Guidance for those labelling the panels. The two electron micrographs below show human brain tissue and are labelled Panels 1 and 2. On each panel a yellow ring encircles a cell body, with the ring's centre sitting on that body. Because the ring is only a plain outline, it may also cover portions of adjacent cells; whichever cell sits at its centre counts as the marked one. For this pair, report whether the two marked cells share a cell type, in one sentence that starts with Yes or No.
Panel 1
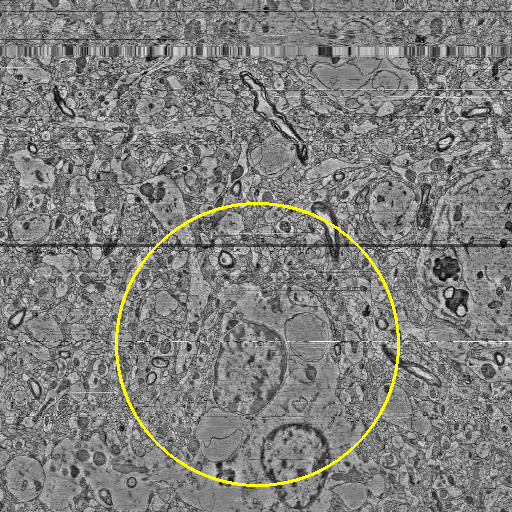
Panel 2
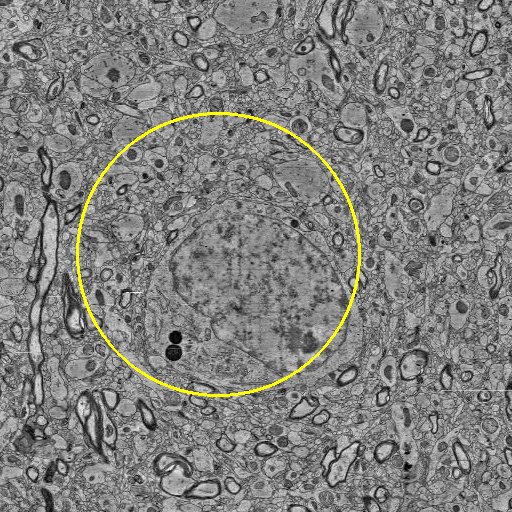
No, in Panel 1 and Panel 2 the marked cells at the ring centres are of two types.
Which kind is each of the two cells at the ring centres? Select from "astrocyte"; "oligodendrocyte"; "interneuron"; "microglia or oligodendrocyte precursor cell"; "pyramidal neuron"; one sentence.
The cell at the centre of the ring is a microglial cell or oligodendrocyte precursor cell in the first picture and an interneuron in the second.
